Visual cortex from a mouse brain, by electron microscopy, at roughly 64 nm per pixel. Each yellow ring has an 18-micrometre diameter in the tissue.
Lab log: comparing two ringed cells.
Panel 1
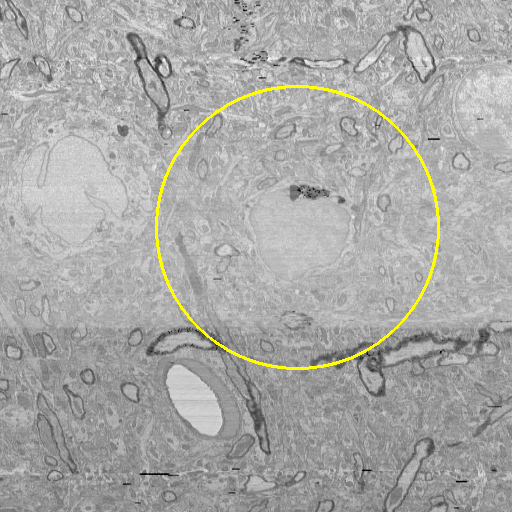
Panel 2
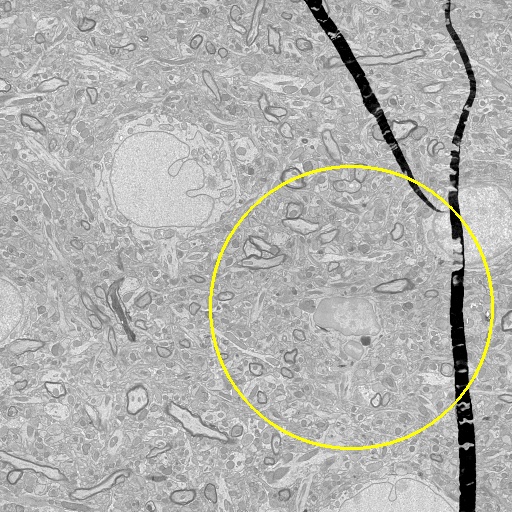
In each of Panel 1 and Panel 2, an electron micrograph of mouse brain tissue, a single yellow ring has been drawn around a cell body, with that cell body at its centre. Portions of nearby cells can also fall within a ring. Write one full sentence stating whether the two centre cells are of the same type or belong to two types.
The cells at the ring centres in Panel 1 and Panel 2 are of the same type.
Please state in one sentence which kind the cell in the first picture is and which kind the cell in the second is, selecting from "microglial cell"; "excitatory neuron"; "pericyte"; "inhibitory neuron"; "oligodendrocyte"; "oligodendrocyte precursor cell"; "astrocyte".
In the first picture and in the second, the ring is centred on a microglial cell.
